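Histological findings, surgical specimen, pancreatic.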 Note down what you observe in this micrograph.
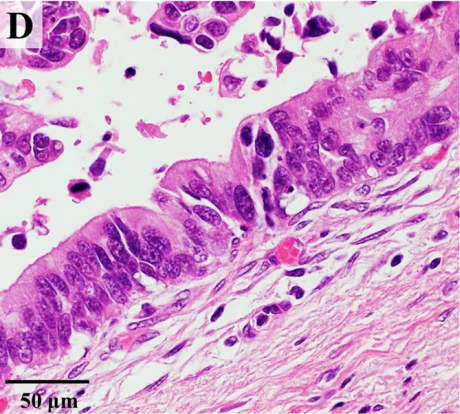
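High-grade atypical epithelial cells line the duct as a tall columnar layer on pink fibrous stroma. Nuclei are enlarged, hyperchromatic and crowded at varying heights, with loss of orderly polarity. Detached atypical cells and debris lie in the lumen above.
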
